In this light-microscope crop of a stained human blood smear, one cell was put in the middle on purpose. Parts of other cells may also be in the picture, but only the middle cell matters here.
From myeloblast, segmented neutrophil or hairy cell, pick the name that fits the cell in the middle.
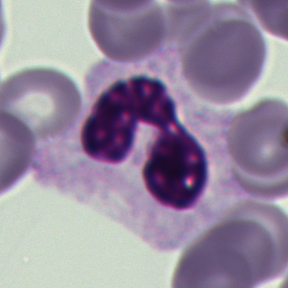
segmented neutrophil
